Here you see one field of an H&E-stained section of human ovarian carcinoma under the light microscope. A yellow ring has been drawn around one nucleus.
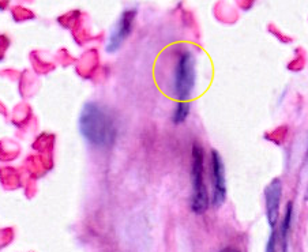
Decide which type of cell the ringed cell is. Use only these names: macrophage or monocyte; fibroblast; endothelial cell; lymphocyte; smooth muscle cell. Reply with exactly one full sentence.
Typologically, the ringed cell is an endothelial cell in this section.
